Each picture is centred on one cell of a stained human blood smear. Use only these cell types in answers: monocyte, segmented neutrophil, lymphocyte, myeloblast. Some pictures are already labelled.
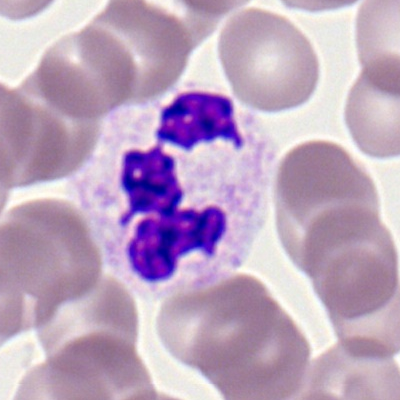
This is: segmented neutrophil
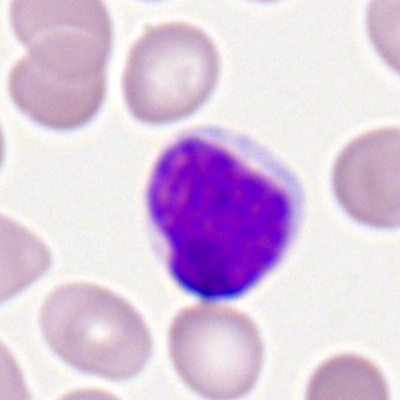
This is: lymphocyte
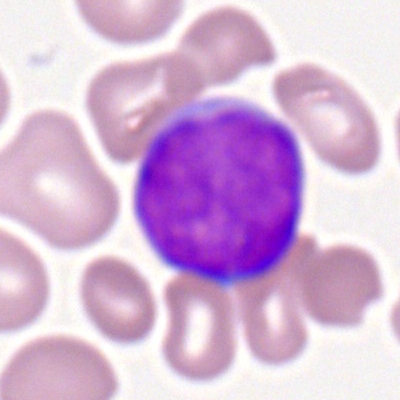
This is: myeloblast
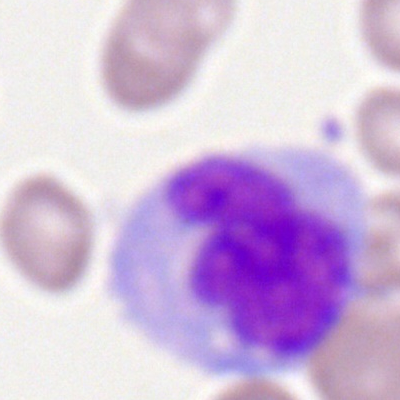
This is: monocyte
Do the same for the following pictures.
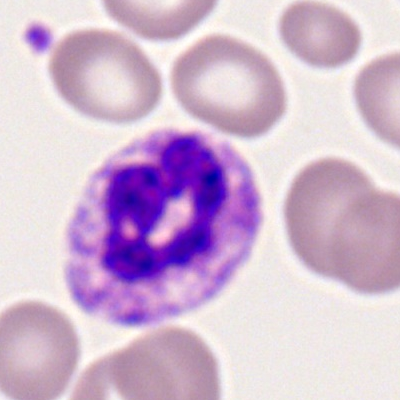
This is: segmented neutrophil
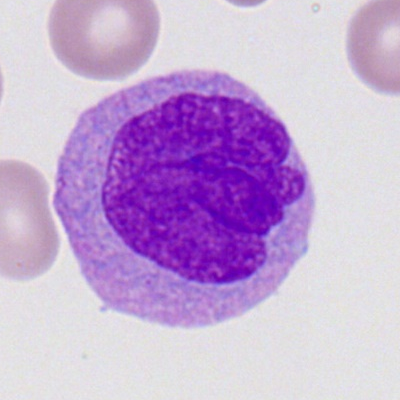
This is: myeloblast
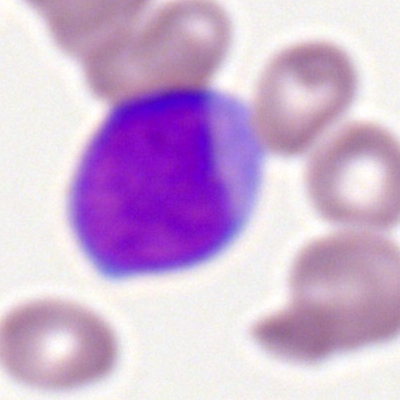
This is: myeloblast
